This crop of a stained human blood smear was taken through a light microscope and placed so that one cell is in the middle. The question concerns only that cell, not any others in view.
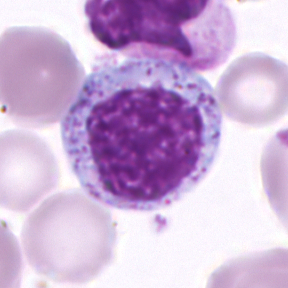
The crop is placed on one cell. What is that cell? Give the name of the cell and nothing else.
myelocyte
